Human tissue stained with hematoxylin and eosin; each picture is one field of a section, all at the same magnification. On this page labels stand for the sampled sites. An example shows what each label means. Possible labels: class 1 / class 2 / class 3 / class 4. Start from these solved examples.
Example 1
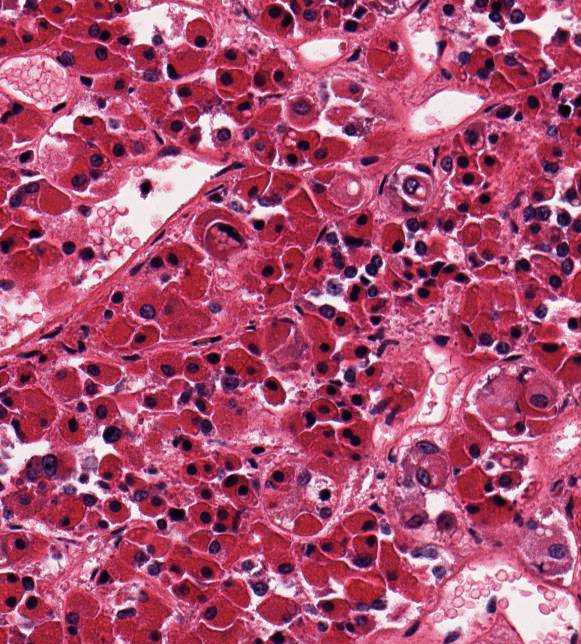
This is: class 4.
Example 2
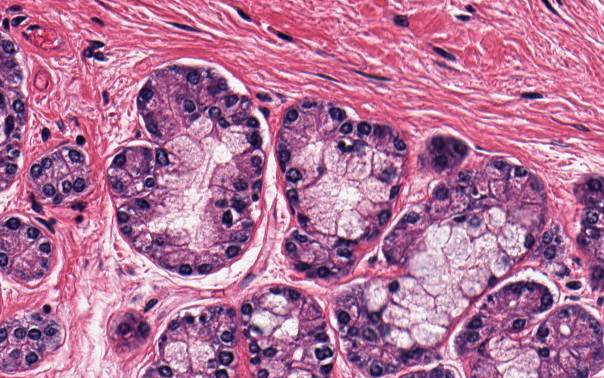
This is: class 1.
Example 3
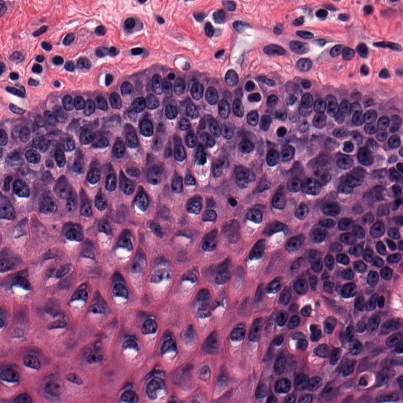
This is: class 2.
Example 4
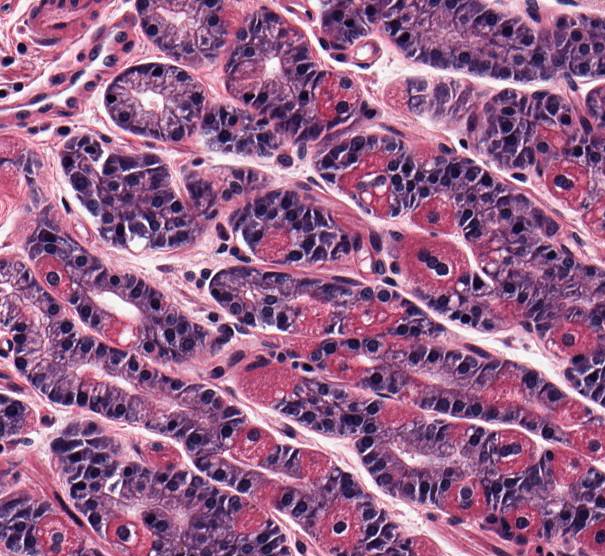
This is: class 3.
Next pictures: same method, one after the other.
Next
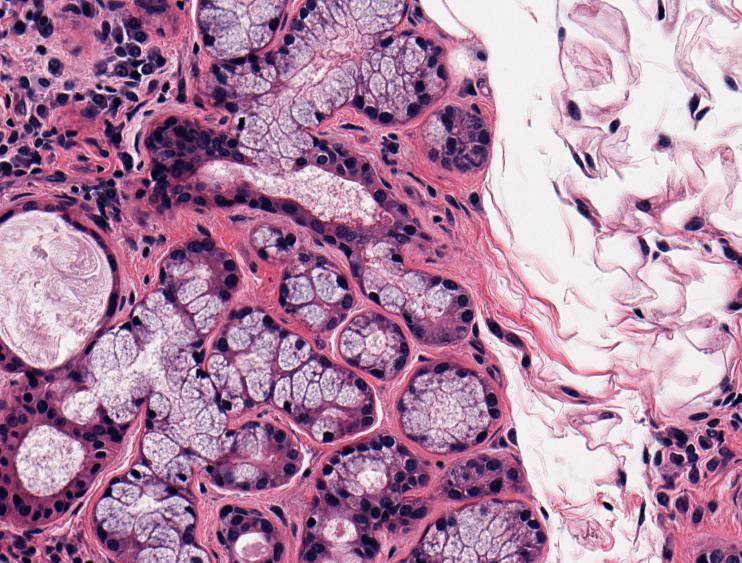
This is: class 1.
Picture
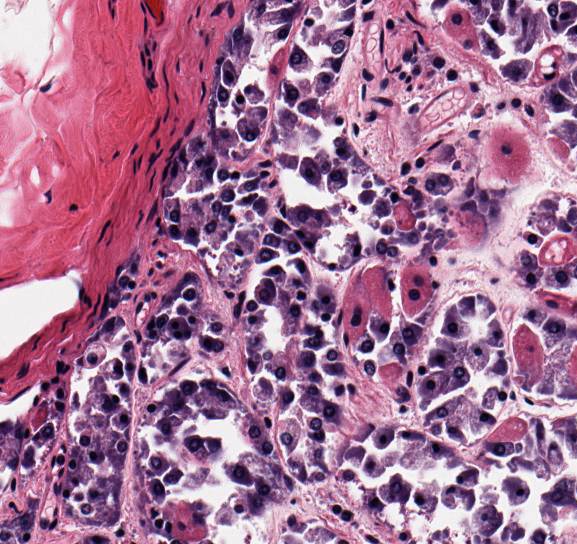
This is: class 3.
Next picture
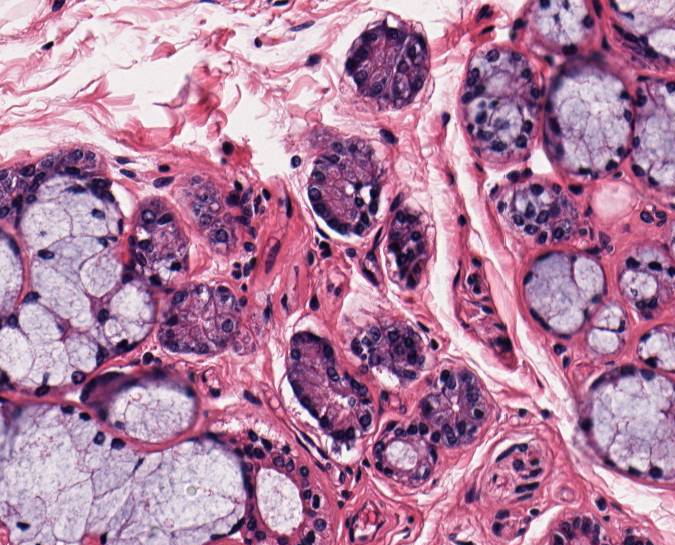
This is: class 1.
